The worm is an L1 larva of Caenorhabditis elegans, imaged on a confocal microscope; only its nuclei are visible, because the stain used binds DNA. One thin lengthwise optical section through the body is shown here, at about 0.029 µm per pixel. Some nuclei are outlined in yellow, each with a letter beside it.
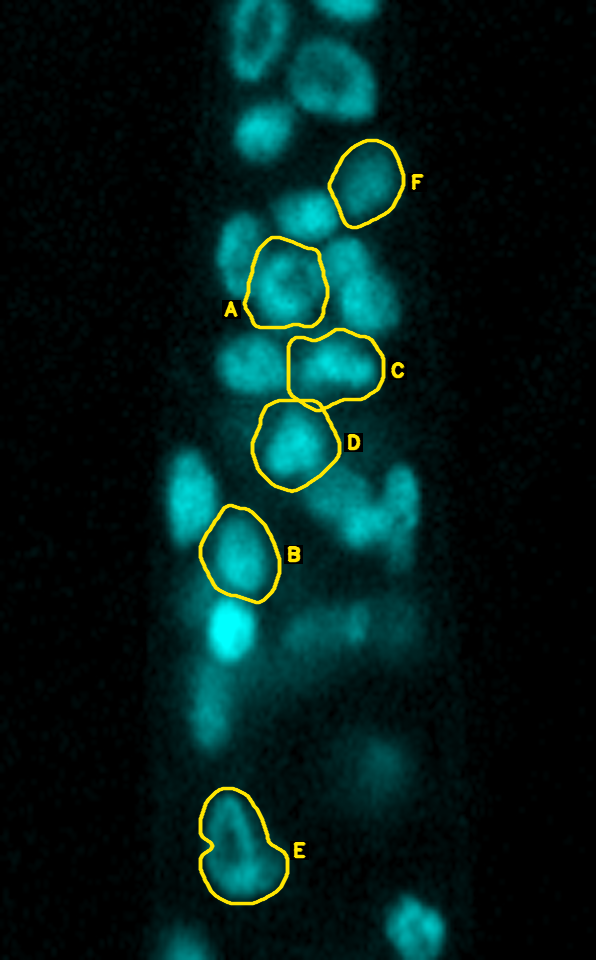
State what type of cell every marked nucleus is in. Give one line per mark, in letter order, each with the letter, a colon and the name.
A: neuron
B: rectal epithelial cell
C: neuron
D: rectal epithelial cell
E: intestinal cell
F: body wall muscle cell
